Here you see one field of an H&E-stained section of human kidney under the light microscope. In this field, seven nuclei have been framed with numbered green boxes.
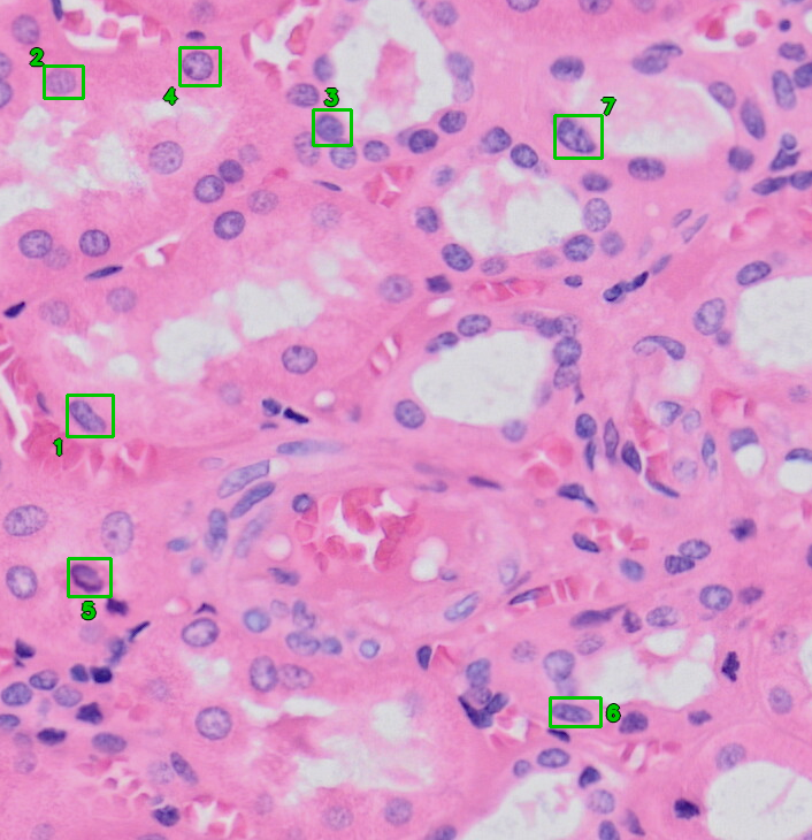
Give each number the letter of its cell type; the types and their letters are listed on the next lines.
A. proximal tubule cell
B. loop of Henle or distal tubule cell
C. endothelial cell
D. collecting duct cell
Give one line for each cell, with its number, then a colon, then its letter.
1: A
2: A
3: D
4: A
5: A
6: D
7: D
